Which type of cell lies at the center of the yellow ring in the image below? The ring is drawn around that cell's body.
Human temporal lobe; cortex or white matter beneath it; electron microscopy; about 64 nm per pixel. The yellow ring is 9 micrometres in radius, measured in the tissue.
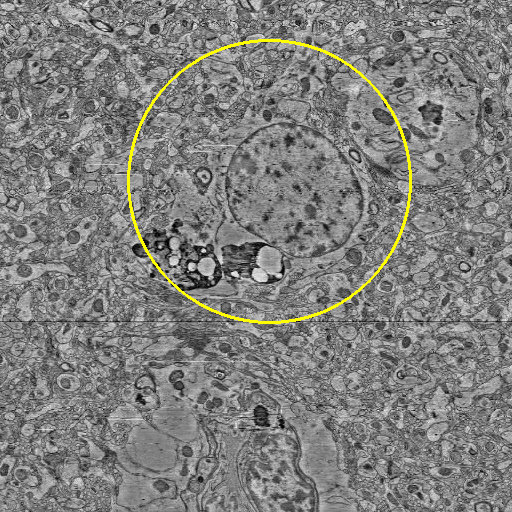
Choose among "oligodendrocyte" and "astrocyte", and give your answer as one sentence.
The cell body at the center belongs to an astrocyte.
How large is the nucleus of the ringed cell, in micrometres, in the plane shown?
The nucleus appears about 9 micrometres across in this plane.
